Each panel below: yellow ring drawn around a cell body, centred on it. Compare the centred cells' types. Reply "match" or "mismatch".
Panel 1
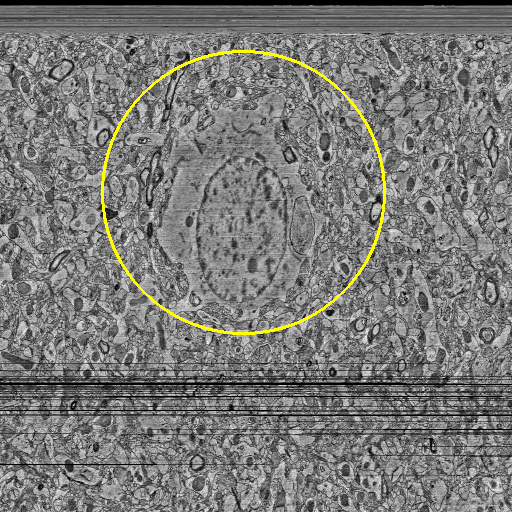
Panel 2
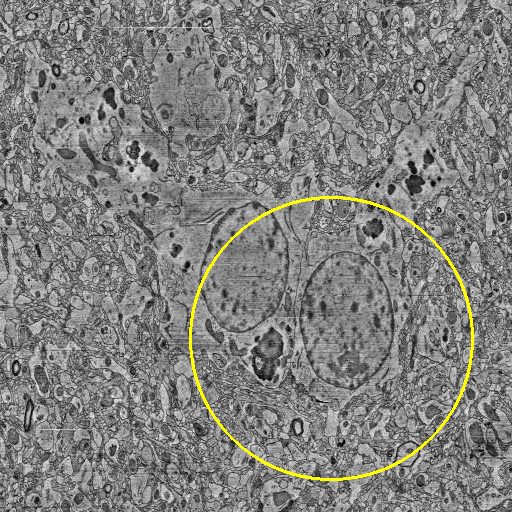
match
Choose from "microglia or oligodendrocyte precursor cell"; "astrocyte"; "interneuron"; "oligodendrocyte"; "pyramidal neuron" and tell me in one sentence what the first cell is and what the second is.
The first and the second cell are each an astrocyte.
